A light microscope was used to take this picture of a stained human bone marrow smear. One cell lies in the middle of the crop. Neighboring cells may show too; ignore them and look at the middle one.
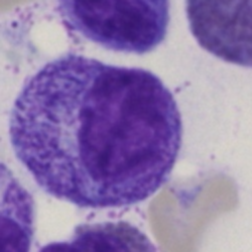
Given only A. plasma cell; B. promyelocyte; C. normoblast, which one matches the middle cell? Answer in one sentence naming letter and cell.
Option B is to be chosen, as the central cell is a promyelocyte.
